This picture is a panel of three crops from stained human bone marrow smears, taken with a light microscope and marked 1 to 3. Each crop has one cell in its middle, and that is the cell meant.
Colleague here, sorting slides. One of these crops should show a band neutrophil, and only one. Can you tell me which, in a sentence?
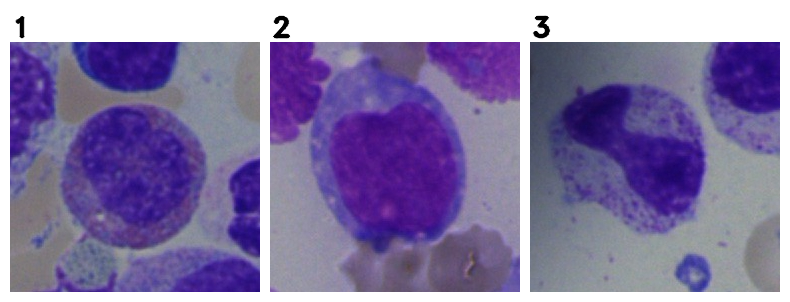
As for which crop shows a band neutrophil, it is crop 3.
